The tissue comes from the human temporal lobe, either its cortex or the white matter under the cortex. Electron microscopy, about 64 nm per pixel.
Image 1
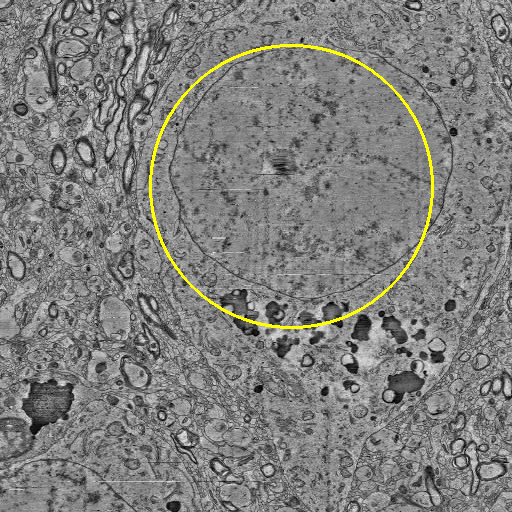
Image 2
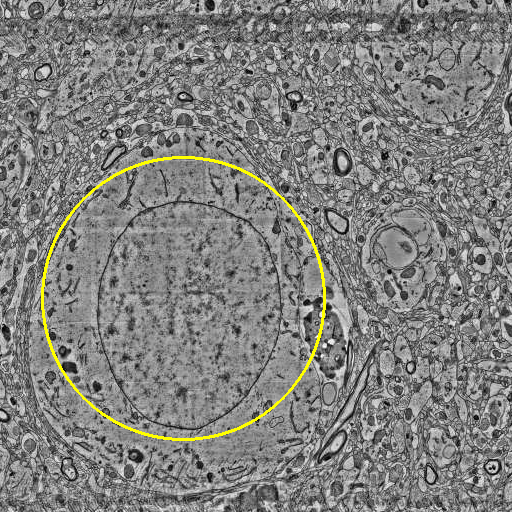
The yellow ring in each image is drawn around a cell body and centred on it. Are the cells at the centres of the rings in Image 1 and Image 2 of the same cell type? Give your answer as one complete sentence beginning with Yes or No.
Yes, both cells are of the same type.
